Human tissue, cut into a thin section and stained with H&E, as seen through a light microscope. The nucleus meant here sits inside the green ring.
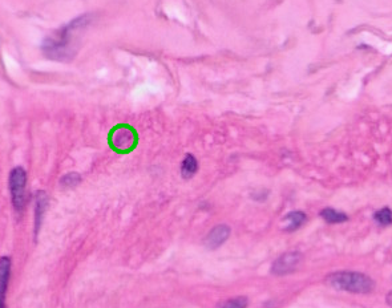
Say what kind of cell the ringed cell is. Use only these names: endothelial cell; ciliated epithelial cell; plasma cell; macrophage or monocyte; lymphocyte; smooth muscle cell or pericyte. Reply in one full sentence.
Students should answer that the ringed cell is a smooth muscle cell or pericyte.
